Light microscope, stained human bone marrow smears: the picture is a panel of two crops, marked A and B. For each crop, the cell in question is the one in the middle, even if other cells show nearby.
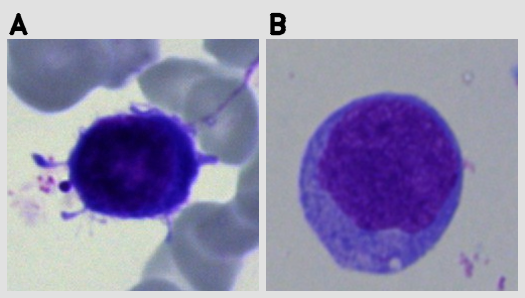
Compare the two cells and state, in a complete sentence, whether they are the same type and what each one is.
No, crop A captures a lymphocyte; meanwhile crop B captures a blast.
